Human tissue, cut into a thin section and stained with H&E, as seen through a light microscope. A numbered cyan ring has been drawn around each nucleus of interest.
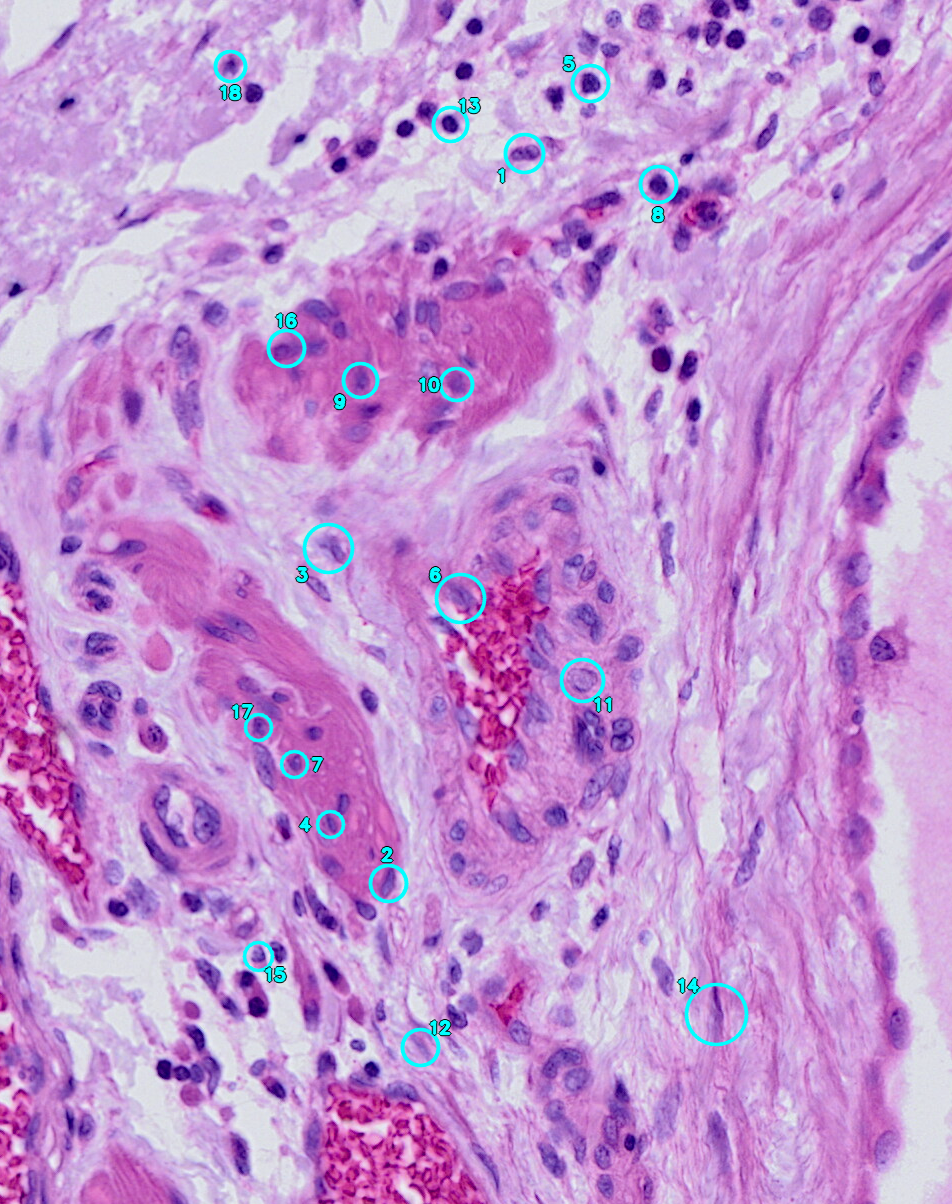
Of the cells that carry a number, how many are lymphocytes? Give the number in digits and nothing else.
4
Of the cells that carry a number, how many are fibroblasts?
4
